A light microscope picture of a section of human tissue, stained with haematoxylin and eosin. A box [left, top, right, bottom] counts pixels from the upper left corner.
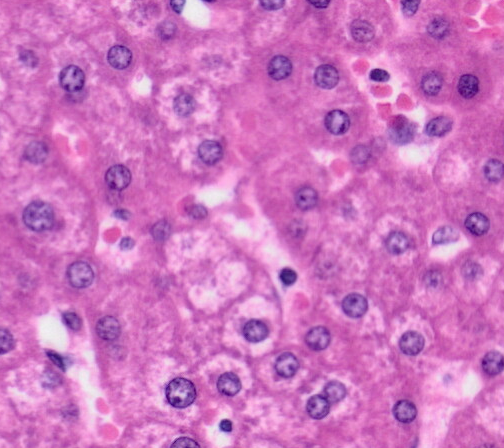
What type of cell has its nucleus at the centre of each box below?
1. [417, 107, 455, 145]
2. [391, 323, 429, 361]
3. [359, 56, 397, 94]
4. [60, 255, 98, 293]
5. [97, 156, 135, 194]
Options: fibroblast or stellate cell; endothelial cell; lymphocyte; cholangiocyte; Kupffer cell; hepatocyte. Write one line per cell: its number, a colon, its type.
1: Kupffer cell
2: hepatocyte
3: lymphocyte
4: hepatocyte
5: hepatocyte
